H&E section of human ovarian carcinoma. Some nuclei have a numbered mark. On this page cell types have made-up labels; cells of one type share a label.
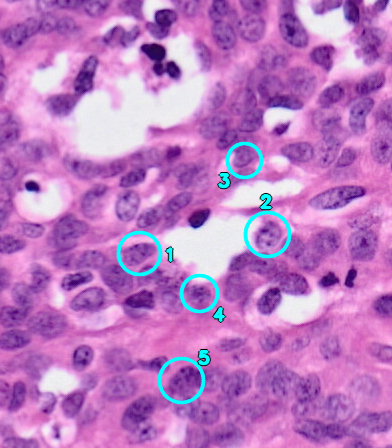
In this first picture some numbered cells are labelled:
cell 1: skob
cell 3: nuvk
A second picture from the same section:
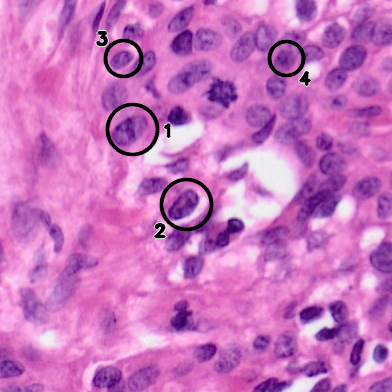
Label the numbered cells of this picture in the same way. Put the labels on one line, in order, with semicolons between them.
nuvk; nuvk; skob; nuvk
